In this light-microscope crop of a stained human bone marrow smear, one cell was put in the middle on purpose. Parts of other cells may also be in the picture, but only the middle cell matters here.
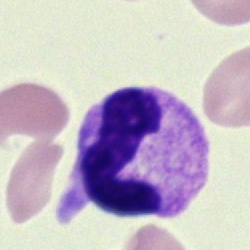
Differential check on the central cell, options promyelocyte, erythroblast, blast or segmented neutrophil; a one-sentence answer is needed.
This crop's central cell is a segmented neutrophil.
